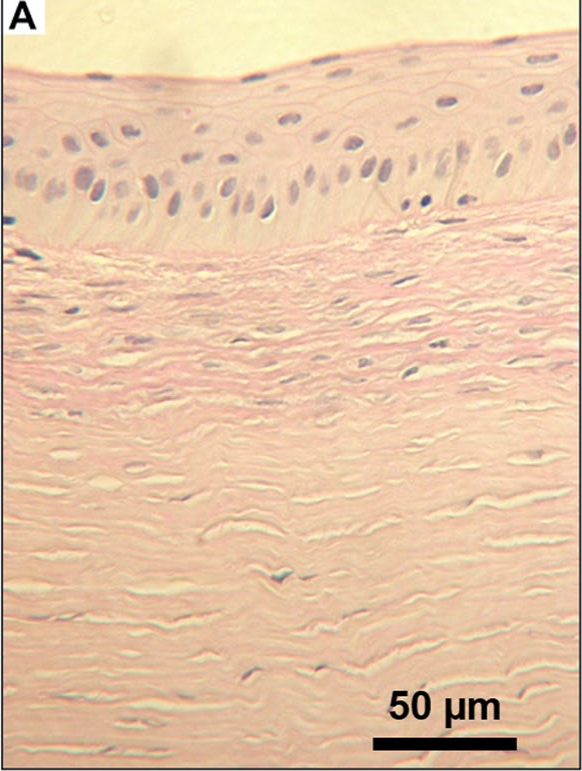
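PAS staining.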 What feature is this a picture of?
Keratocyte-rich “fibrosis band”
